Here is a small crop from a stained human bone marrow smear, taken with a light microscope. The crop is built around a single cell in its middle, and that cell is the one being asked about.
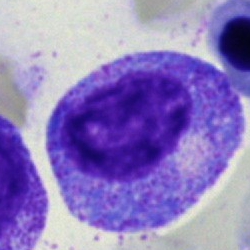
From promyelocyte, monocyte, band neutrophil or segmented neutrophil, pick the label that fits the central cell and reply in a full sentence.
Of the cells in this crop, the central one is a promyelocyte.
